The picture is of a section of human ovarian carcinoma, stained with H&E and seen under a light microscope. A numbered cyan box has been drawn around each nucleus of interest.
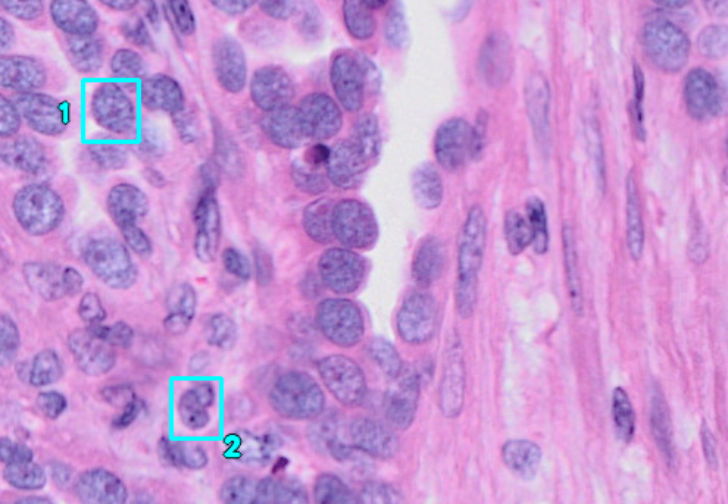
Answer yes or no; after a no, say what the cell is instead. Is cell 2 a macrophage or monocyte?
Yes.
